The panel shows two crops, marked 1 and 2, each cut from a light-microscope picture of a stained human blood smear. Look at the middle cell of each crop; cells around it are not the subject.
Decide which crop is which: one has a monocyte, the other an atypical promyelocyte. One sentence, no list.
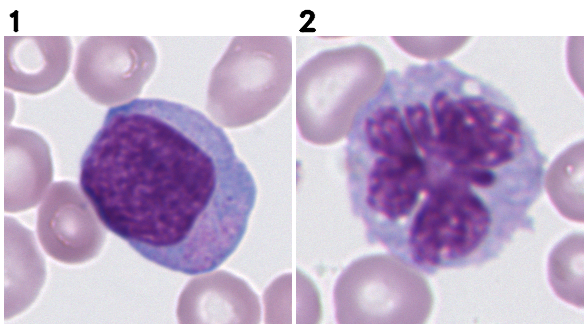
What crop 1 shows is an atypical promyelocyte, and what crop 2 shows is a monocyte.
